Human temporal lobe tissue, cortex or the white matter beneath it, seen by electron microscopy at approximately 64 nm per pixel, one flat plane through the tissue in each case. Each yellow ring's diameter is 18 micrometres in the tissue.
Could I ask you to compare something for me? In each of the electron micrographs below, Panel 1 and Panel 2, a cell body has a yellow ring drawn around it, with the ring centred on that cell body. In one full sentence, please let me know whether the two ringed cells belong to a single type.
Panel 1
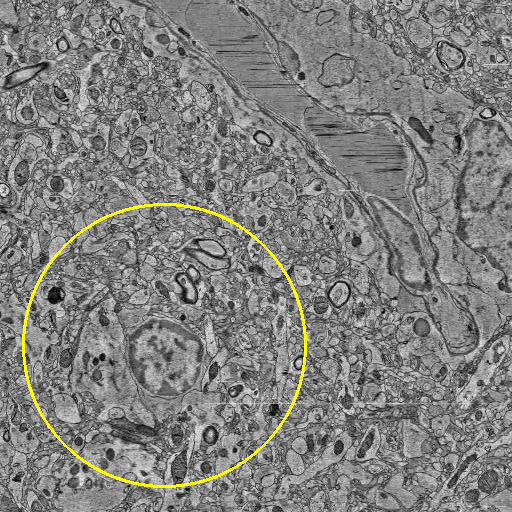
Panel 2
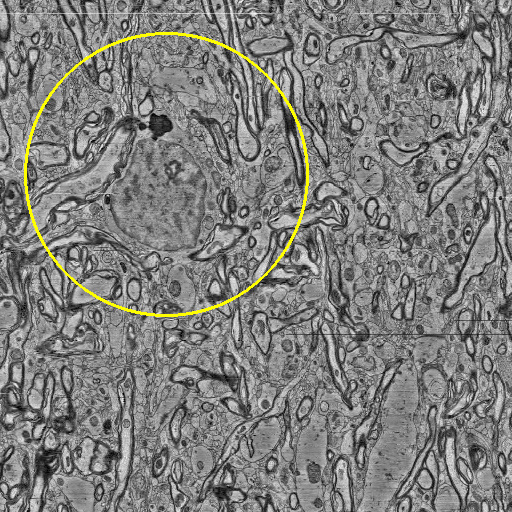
No, the two cells at the centres of the rings are of two types.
